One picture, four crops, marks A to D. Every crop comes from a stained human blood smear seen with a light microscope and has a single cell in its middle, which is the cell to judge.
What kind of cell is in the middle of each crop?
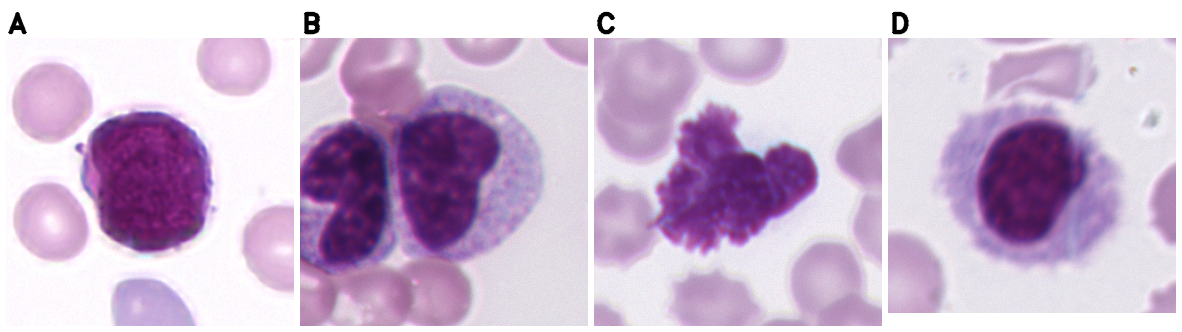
A: atypical promyelocyte
B: metamyelocyte
C: smudge cell
D: hairy cell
